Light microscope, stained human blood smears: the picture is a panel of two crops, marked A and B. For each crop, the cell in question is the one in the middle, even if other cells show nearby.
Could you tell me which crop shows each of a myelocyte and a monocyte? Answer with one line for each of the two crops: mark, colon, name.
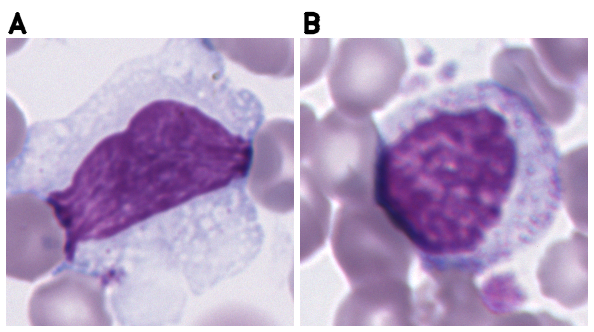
A: monocyte
B: myelocyte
